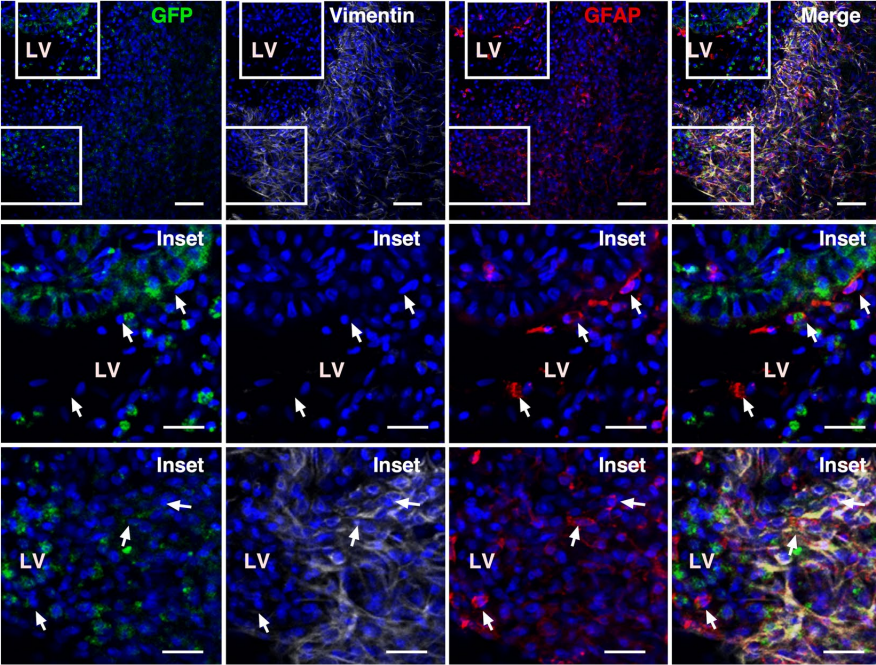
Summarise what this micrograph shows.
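Brain tissue at the lateral ventricle showing an area of reactive gliosis. A dense meshwork of white fibrous processes crowds a broad region of the tissue, with many closely packed nuclei embedded within it; red-stained processes run through the same area and overlap with the white fibers. Green punctate signal lies in many cells, including cells at the margin of a rounded ventricular lumen and cells lying inside the ventricle space. Enlarged views show small cells with round nuclei inside the ventricle, some outlined by red signal, and a curved layer of cells bordering the cavity with green granular cytoplasm.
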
